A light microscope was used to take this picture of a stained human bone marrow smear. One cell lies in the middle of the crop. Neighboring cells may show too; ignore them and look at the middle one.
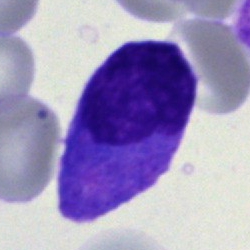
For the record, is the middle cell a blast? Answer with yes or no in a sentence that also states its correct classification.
Yes, at the centre of the crop lies a blast.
